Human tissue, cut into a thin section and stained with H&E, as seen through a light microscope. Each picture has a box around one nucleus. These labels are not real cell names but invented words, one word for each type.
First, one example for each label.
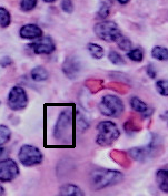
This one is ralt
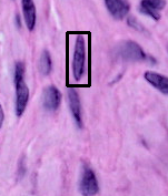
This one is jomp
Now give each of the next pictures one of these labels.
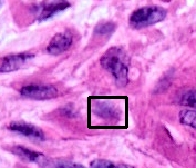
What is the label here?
jomp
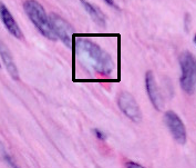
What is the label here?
ralt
